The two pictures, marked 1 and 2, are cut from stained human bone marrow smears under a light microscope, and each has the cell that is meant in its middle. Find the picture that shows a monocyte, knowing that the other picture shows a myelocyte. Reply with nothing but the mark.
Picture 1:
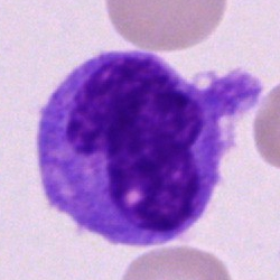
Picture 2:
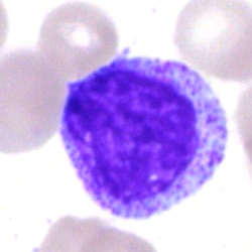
1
